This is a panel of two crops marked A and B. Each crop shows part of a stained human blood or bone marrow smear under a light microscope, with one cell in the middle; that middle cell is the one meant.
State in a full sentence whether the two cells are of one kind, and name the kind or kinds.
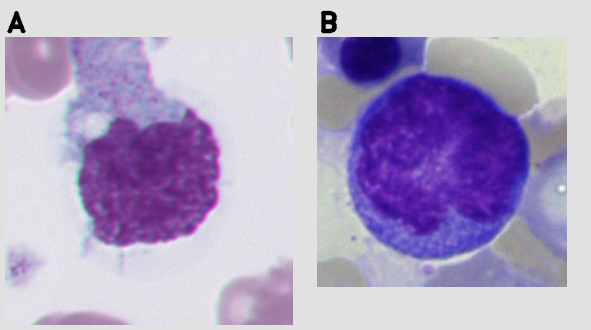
Yes, both crops depict monocytes at the centre.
